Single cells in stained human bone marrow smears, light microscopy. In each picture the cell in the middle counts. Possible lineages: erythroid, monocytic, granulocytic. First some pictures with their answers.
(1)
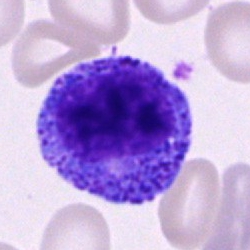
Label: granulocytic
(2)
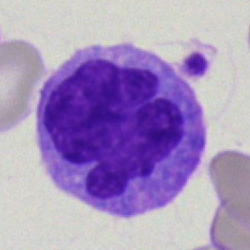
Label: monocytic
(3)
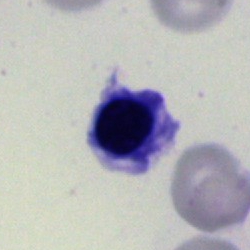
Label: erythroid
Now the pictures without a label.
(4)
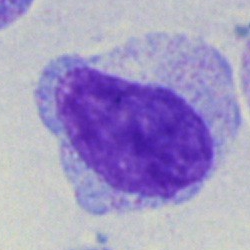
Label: granulocytic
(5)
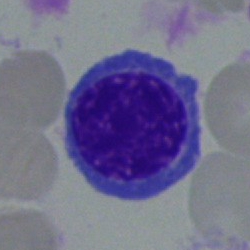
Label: erythroid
